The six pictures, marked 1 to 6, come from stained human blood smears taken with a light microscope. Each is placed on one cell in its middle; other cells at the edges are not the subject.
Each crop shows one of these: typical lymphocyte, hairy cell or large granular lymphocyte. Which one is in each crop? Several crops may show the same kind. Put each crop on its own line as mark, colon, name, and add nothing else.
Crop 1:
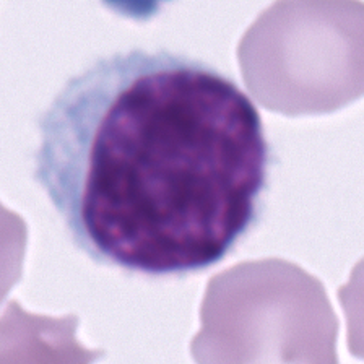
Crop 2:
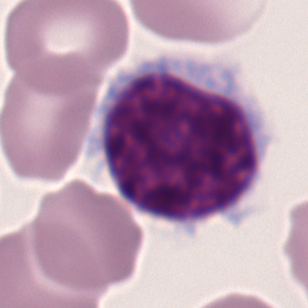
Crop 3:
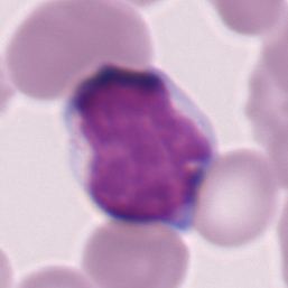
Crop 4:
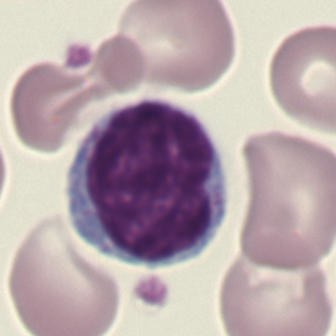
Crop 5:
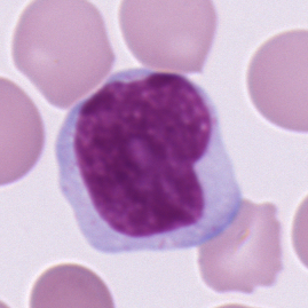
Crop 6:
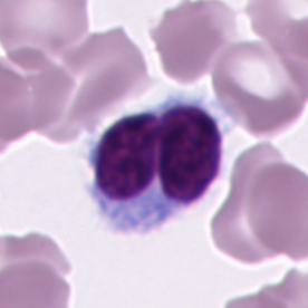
1: hairy cell
2: hairy cell
3: large granular lymphocyte
4: typical lymphocyte
5: typical lymphocyte
6: hairy cell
